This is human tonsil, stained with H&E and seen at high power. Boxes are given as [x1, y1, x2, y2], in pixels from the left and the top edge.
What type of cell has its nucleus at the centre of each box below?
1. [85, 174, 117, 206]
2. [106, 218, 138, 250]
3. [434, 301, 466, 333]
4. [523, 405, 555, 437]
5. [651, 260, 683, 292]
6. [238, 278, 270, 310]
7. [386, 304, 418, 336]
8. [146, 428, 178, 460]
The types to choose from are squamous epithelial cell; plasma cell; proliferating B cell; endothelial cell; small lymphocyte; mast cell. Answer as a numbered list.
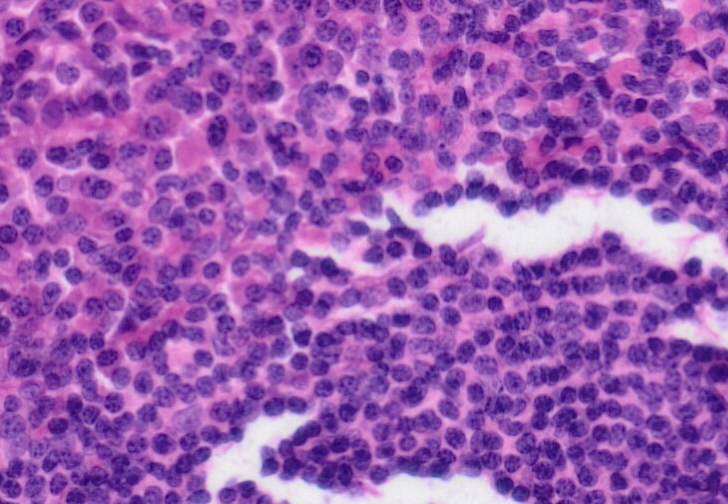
1. plasma cell
2. plasma cell
3. small lymphocyte
4. small lymphocyte
5. small lymphocyte
6. plasma cell
7. small lymphocyte
8. small lymphocyte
